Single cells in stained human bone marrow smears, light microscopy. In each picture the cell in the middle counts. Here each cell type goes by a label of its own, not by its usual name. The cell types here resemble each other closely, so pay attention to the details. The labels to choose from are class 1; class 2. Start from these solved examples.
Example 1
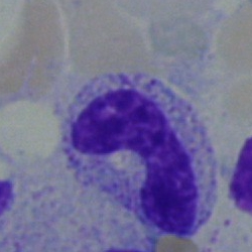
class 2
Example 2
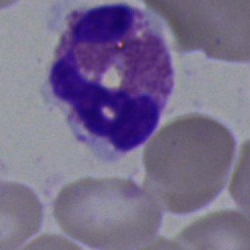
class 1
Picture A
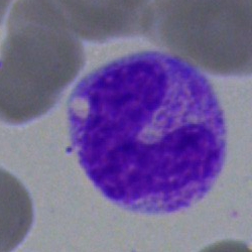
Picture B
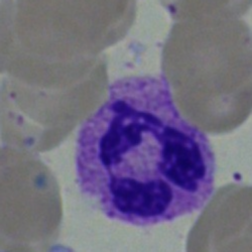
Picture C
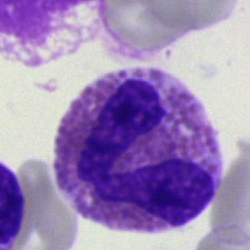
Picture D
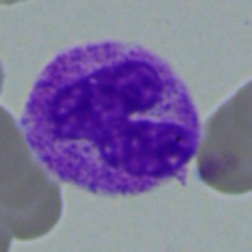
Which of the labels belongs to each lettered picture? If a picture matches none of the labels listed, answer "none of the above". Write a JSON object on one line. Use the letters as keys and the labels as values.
{"A": "class 2", "B": "none of the above", "C": "class 1", "D": "class 2"}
